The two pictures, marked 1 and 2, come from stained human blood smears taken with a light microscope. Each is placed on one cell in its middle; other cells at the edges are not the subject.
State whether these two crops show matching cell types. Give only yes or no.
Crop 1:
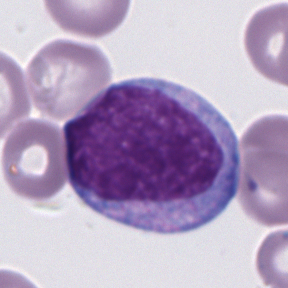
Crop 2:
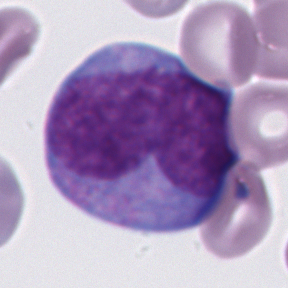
yes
